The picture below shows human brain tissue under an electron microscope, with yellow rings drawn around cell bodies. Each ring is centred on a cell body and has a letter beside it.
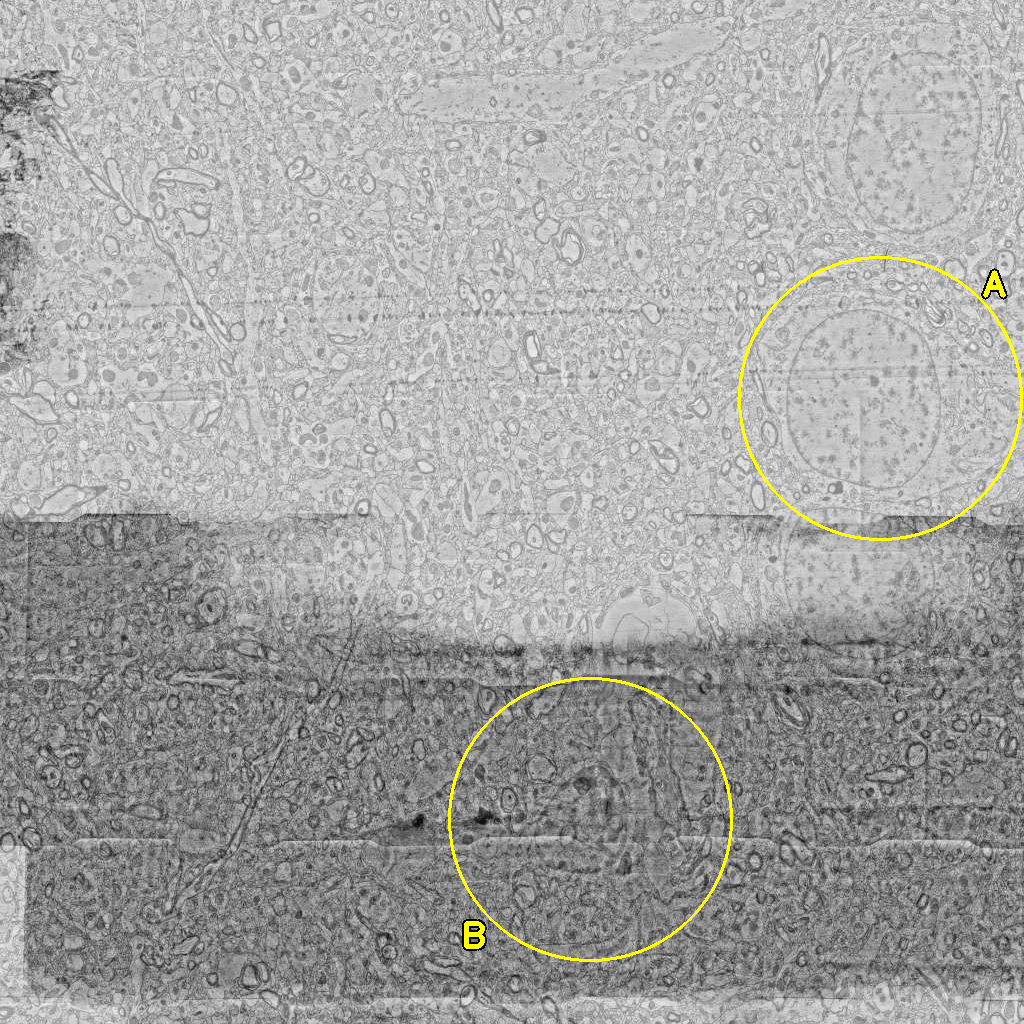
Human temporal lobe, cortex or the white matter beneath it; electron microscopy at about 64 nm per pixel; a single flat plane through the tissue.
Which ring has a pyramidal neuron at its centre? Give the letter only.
A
